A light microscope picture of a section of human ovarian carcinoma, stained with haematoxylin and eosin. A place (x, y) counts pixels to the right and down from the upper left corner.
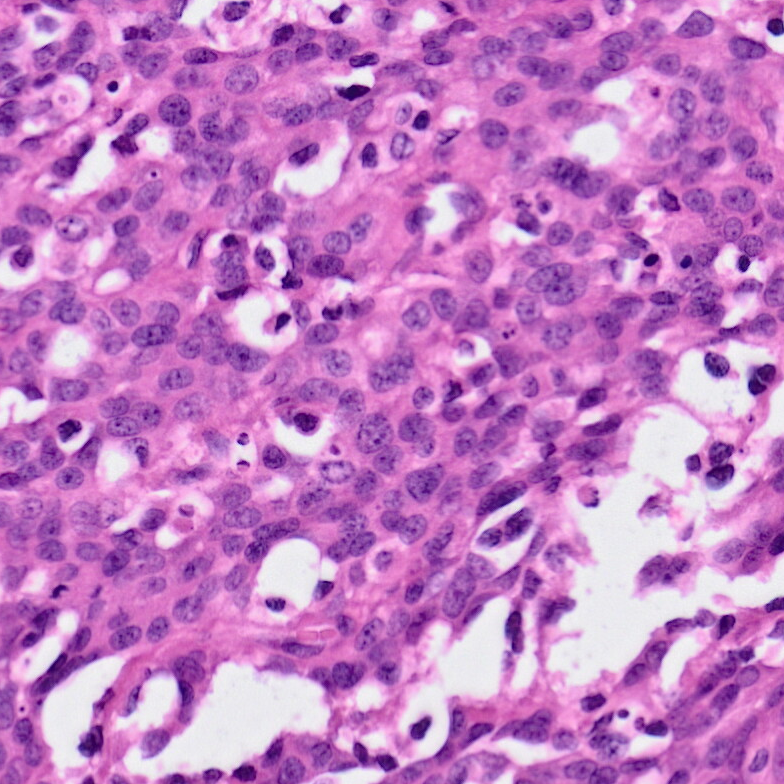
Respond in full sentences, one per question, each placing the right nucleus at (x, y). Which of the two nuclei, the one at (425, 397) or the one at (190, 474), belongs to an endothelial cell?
Of the two options, the nucleus at (190, 474) is the one that belongs to an endothelial cell.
